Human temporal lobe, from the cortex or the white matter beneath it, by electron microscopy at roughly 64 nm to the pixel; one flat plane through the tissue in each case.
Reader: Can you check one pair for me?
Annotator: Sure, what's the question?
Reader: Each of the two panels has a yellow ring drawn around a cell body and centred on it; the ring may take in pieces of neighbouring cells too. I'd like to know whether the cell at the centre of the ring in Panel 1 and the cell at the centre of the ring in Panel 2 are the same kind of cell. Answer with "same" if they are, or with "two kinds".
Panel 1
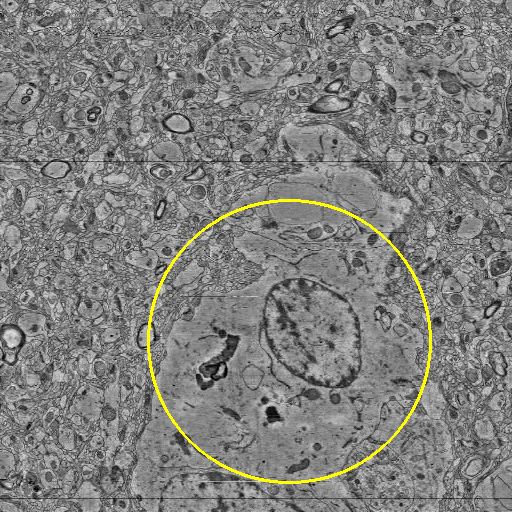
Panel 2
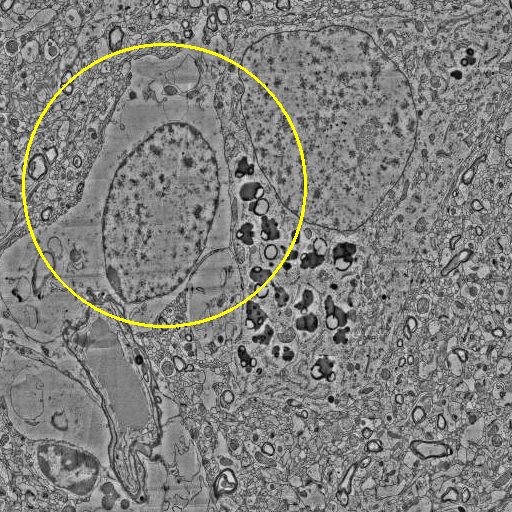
same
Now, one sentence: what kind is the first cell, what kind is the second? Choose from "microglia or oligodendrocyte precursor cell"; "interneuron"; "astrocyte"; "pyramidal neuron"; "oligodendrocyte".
In each picture the ringed cell is an astrocyte.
